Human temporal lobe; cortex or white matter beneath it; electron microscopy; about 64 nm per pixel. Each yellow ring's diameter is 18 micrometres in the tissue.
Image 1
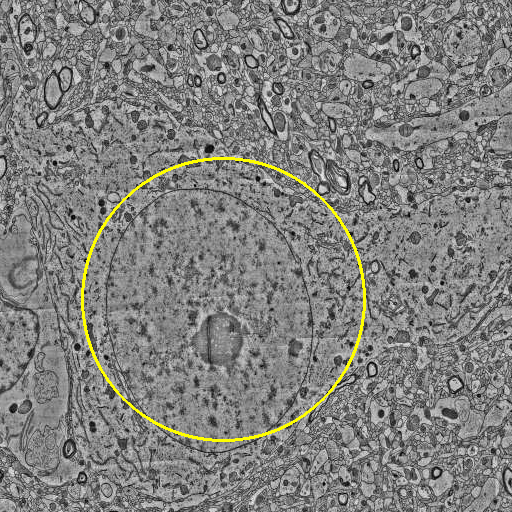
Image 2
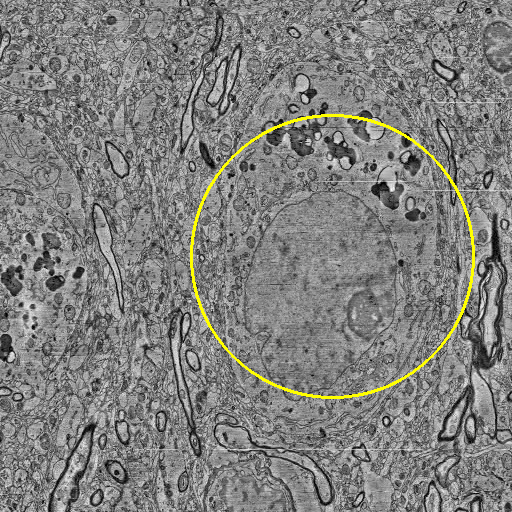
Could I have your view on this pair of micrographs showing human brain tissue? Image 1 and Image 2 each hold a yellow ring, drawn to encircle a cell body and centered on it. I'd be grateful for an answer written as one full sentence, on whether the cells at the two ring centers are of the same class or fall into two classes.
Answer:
The cells at the centers of the two rings are of the same class.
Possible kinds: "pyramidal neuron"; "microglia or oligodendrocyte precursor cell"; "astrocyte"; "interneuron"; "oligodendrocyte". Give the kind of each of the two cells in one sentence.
The cell at the ring centre is a pyramidal neuron in both pictures.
